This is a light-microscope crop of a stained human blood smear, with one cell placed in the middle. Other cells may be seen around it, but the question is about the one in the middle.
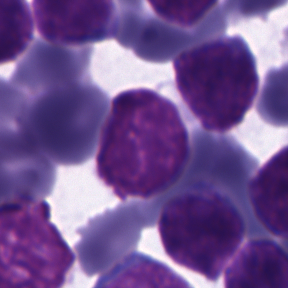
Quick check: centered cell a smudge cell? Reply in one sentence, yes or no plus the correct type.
No, the centre of the crop contains a myeloblast rather than a smudge cell.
